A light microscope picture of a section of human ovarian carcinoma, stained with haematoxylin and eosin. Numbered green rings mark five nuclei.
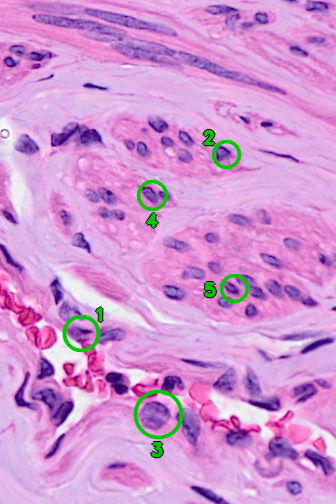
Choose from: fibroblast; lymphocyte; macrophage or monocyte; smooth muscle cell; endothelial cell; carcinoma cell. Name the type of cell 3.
endothelial cell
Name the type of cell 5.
smooth muscle cell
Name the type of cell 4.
smooth muscle cell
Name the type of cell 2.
smooth muscle cell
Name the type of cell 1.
endothelial cell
